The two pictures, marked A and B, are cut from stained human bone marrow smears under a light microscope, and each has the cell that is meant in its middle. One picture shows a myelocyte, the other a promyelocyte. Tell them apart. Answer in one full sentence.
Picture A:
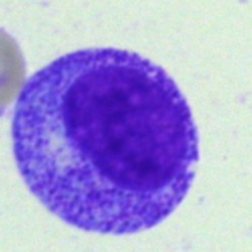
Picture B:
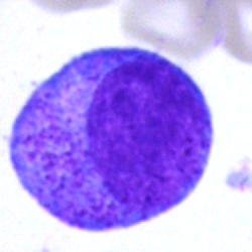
Picture B shows a promyelocyte, while picture A shows a myelocyte.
